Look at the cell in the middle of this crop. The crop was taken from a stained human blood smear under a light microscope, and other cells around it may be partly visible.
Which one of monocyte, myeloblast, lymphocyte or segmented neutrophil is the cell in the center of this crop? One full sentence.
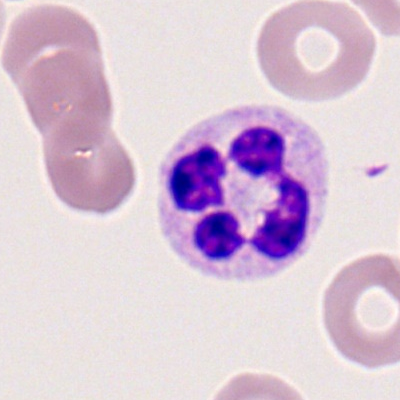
The cell in the middle of this crop is a segmented neutrophil.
